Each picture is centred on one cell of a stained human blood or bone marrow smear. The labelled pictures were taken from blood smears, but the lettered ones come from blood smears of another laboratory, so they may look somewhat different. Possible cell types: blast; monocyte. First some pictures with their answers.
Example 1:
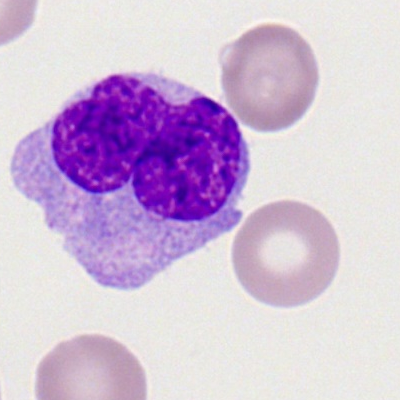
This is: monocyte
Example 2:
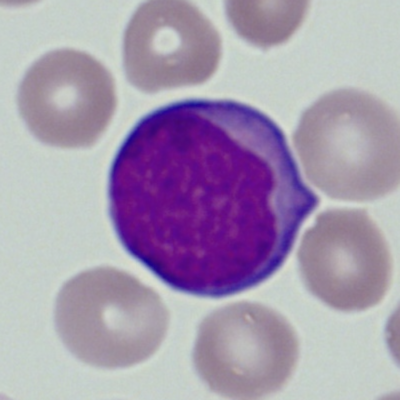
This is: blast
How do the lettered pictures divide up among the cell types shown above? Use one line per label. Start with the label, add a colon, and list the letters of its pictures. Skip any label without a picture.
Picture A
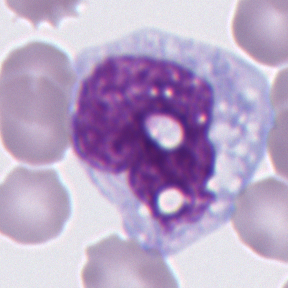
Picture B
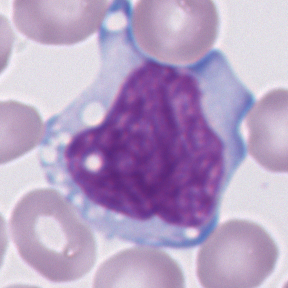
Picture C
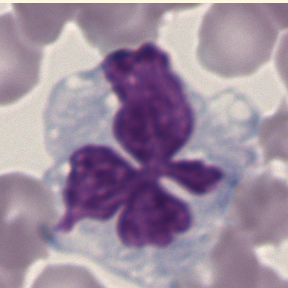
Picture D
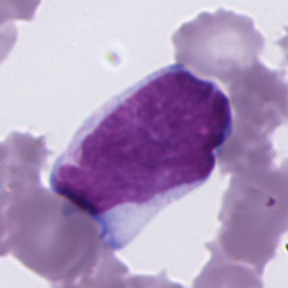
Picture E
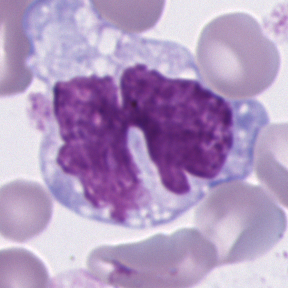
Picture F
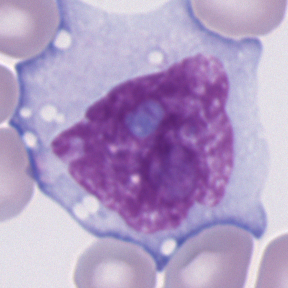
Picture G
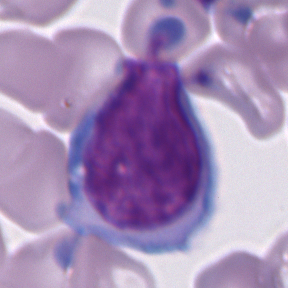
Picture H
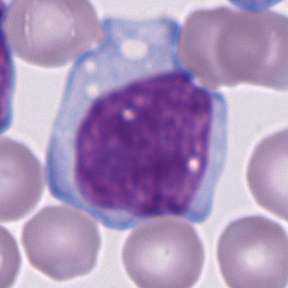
blast: B, D, F, G, H
monocyte: A, C, E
